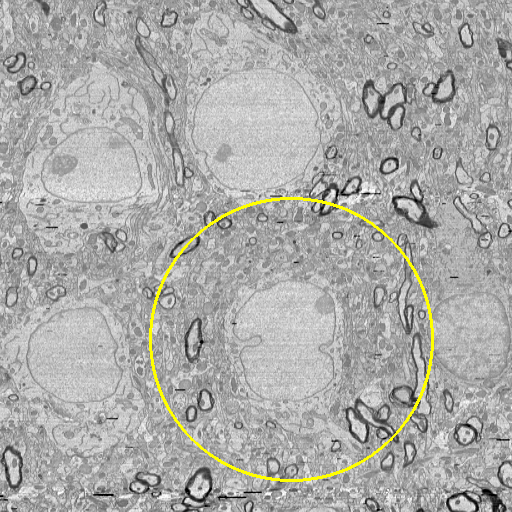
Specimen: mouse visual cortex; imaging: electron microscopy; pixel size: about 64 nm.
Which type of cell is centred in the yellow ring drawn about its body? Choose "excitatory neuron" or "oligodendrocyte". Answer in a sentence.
The yellow ring surrounds the cell body of an excitatory neuron.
